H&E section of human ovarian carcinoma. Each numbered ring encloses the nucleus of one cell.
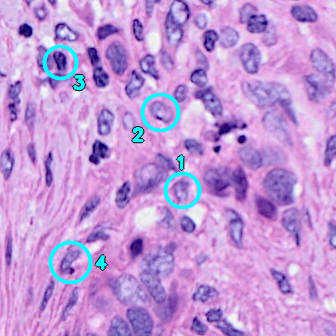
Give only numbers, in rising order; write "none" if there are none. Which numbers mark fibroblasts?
1, 2, 4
